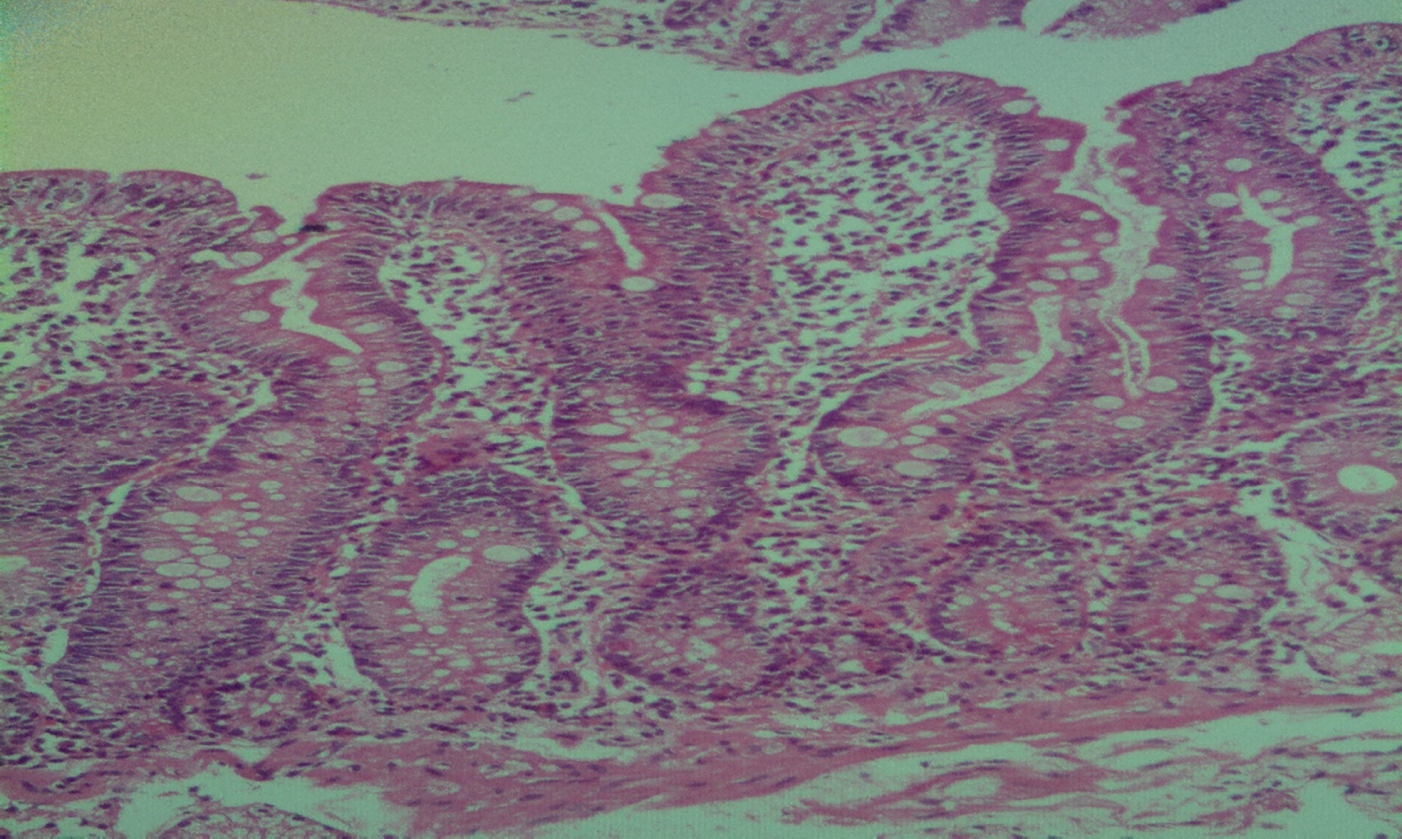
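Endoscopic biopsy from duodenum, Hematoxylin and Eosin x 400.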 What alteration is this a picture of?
villi shortening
